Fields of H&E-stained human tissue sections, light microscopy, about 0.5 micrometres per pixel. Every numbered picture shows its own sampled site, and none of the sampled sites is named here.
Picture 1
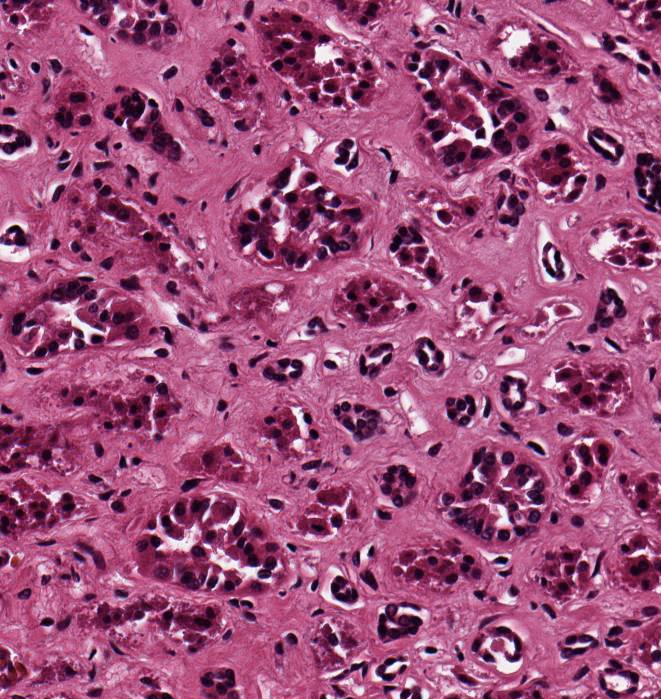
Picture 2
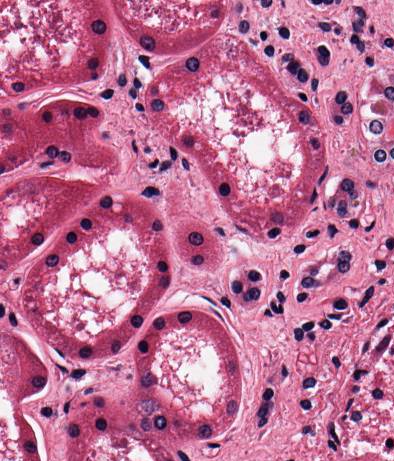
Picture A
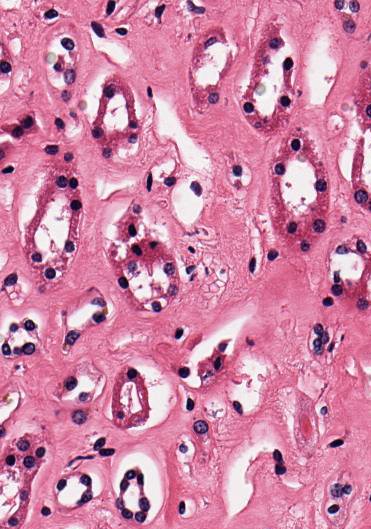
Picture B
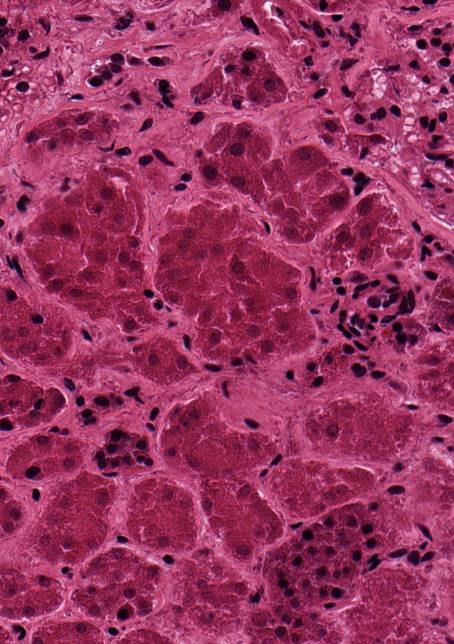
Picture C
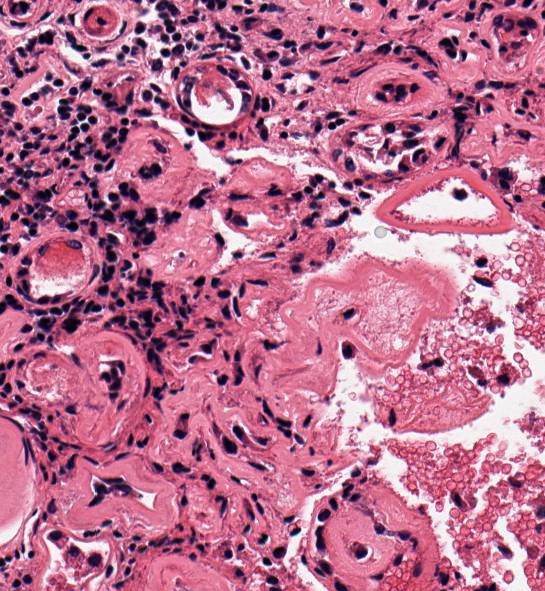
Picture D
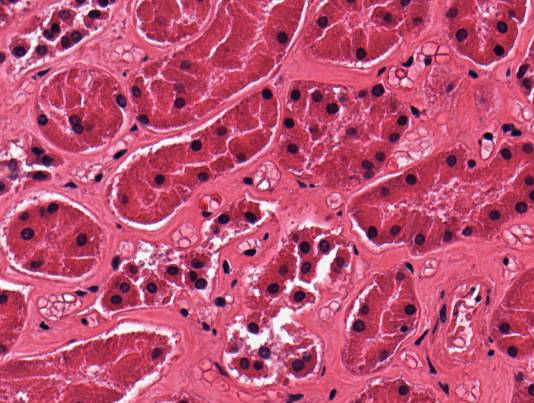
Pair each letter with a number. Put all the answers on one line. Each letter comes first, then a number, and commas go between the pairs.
A 1, B 1, C 2, D 2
